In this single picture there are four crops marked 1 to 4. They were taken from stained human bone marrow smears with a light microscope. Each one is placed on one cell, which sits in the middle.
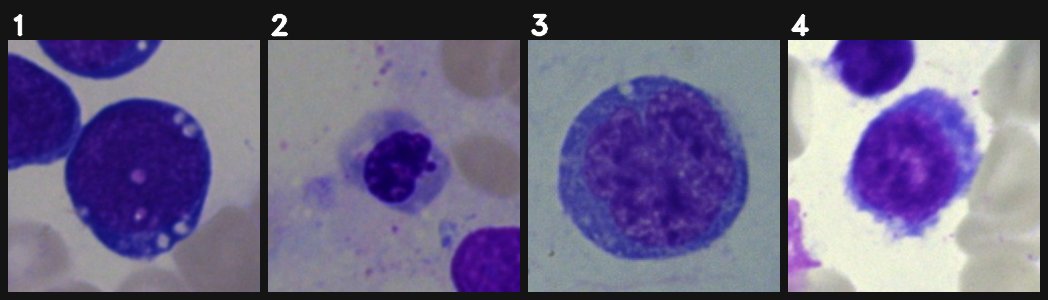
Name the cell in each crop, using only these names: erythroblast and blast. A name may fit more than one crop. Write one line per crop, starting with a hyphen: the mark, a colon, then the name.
- 1: blast
- 2: erythroblast
- 3: blast
- 4: blast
